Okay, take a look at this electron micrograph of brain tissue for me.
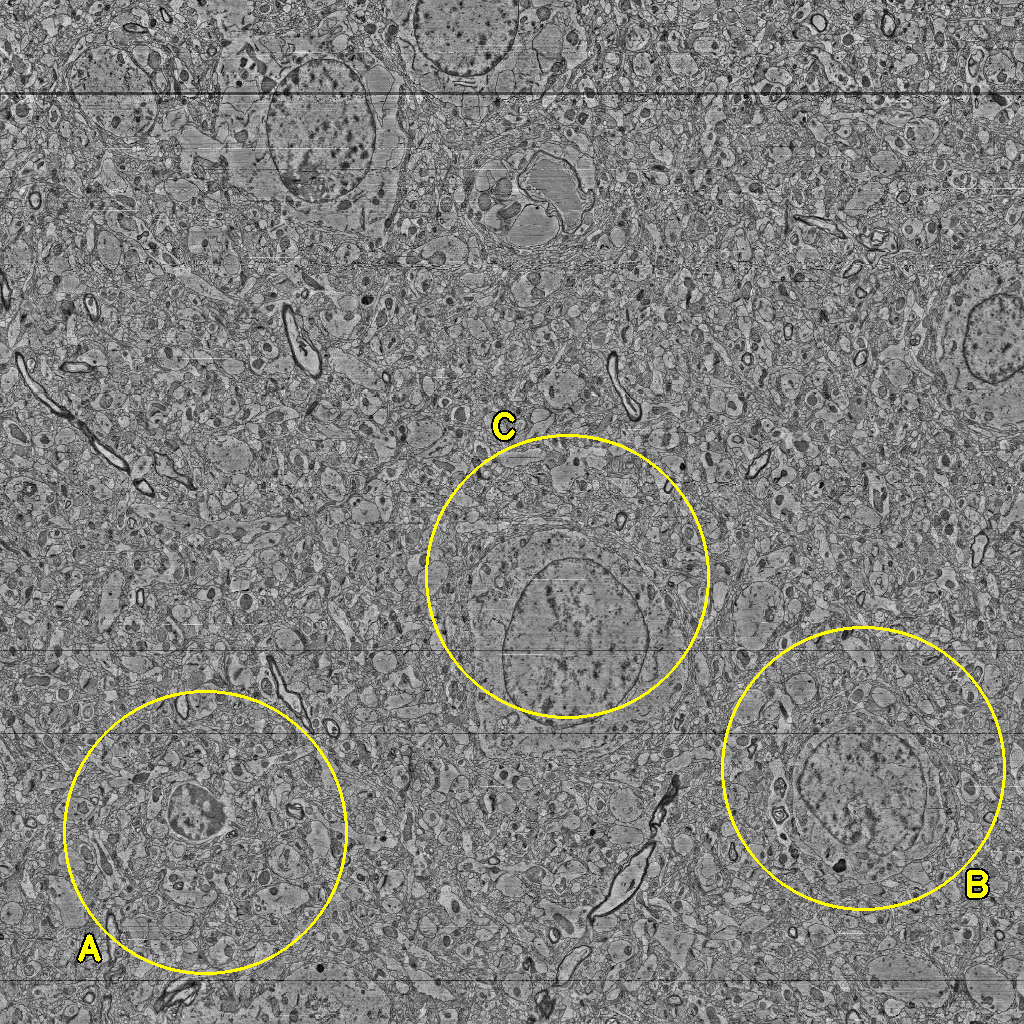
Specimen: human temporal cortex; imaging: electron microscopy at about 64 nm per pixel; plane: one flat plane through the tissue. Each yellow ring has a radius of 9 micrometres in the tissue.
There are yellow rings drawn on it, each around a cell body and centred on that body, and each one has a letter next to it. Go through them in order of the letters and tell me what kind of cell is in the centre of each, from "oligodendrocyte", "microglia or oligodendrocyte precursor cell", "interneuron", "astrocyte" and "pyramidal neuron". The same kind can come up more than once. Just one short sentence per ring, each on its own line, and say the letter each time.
In the centre of ring A there's a microglial cell or oligodendrocyte precursor cell.
In the centre of ring B there's an interneuron.
In the centre of ring C there's a pyramidal neuron.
